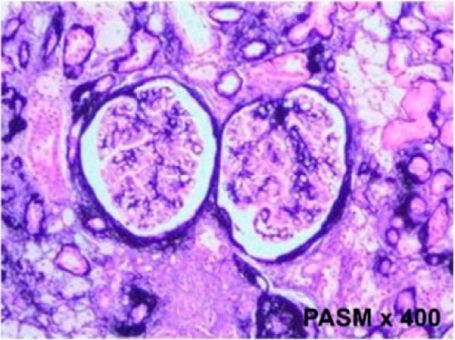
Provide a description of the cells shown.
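Kidney cortex with two glomeruli lying side by side, each a round tuft of capillary loops enclosed by a black-outlined capsule and separated from it by a clear crescent of space. Within the tufts, thin black lines trace the walls of the capillary loops; the black staining is uneven, heavy in some loops and faint in others. Around the glomeruli, cross-sectioned tubules are bordered by black-stained basement membranes, with pink cytoplasm and pale vacuolated areas among them.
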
